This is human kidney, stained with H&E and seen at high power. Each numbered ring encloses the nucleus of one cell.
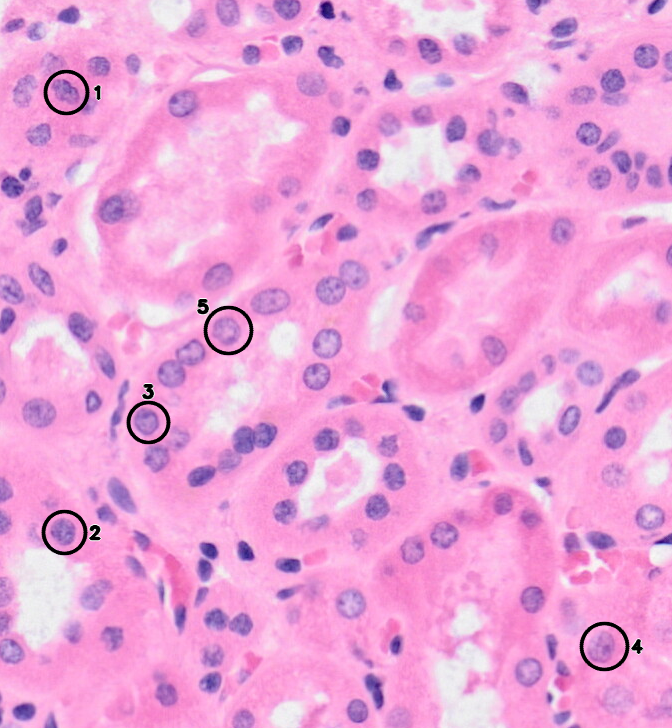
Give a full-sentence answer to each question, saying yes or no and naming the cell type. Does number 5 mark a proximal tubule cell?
Yes, the cell that number 5 points to is a proximal tubule cell.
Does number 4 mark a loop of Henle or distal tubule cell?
No, the identification of cell 4 as a loop of Henle or distal tubule cell is incorrect; it is a proximal tubule cell.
